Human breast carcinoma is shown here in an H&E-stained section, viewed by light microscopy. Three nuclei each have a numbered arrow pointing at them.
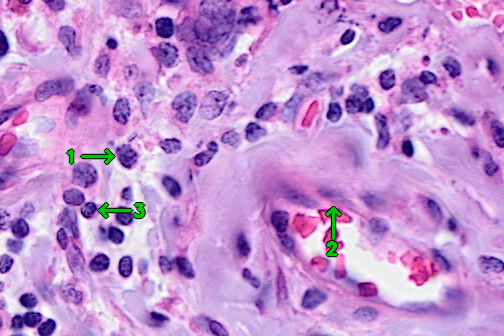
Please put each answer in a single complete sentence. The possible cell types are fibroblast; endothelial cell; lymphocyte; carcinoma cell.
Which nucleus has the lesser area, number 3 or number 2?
Nucleus 3 is the smaller one; nucleus 2 covers about 1.5 times its area.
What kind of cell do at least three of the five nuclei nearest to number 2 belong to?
Around number 2, most of the five nearest nuclei are those of endothelial cells.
